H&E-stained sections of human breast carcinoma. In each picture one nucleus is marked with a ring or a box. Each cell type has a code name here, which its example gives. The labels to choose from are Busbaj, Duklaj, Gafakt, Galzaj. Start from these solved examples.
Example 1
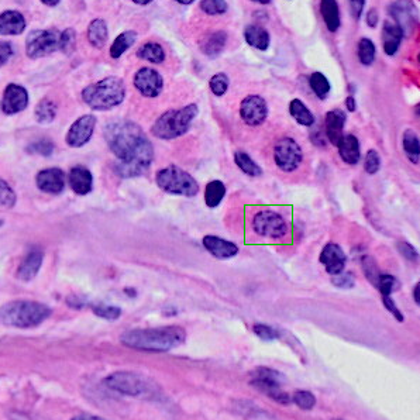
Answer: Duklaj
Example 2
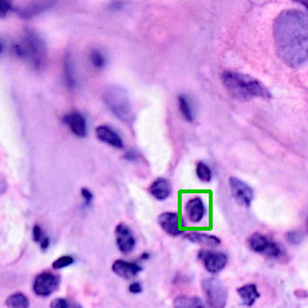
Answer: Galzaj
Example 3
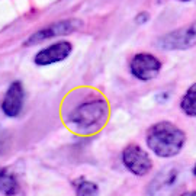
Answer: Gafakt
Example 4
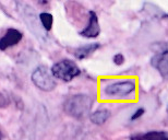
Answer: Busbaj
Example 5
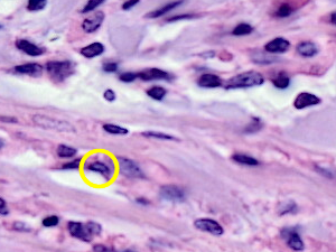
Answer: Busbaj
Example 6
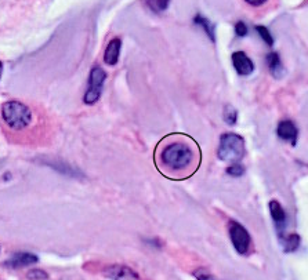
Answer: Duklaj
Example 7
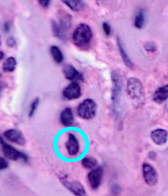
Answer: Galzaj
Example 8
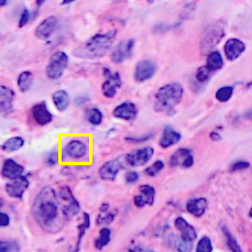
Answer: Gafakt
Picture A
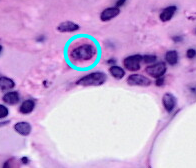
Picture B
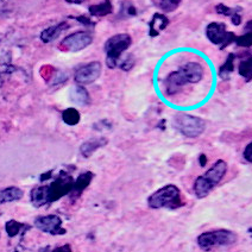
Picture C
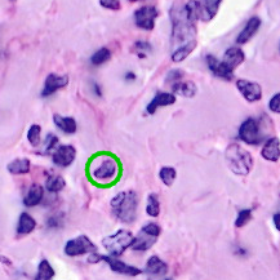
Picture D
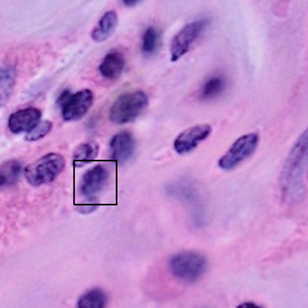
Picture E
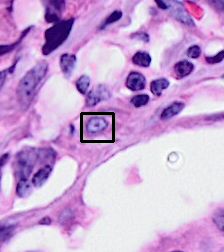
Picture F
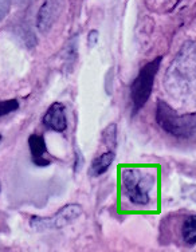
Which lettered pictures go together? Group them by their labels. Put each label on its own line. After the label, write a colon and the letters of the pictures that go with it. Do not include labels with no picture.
Busbaj: E
Duklaj: A
Gafakt: B, F
Galzaj: C, D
